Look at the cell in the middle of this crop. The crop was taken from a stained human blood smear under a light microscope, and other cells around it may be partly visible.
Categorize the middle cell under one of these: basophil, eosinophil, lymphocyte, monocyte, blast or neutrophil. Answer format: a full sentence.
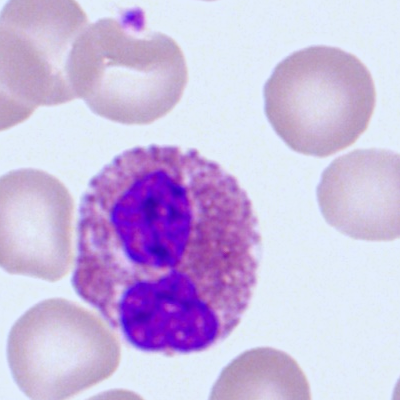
This crop has an eosinophil at its centre.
